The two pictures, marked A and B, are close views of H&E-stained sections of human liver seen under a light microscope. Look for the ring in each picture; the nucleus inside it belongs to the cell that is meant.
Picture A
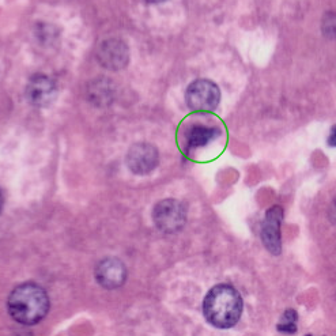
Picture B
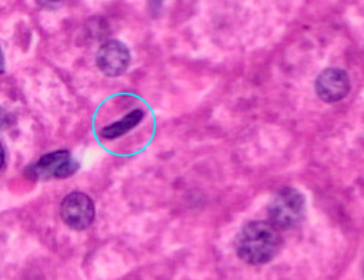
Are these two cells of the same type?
no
